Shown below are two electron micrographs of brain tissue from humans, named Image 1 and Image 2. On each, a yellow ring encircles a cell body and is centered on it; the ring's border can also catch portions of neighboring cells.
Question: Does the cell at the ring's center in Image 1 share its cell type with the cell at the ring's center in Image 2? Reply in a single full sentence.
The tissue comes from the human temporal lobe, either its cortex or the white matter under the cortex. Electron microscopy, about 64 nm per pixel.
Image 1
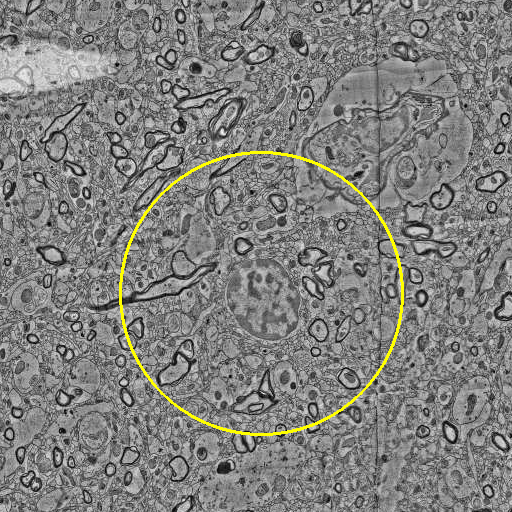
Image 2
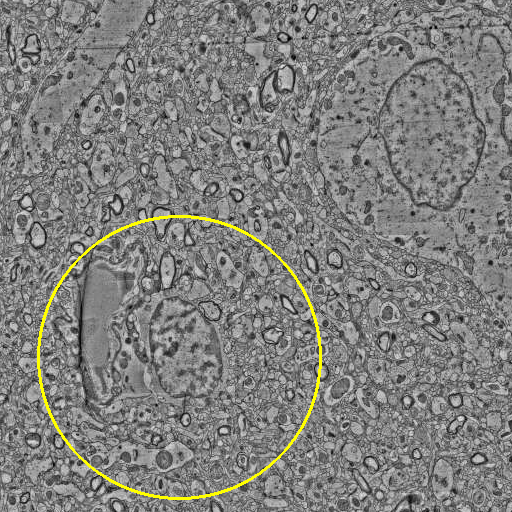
No, the two cells at the ring centers, in Image 1 and Image 2, are of two cell types.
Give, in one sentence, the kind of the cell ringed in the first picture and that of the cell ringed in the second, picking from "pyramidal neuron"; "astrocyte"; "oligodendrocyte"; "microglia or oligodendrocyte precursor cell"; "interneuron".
For the first picture it is a microglial cell or oligodendrocyte precursor cell; for the second, an oligodendrocyte.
